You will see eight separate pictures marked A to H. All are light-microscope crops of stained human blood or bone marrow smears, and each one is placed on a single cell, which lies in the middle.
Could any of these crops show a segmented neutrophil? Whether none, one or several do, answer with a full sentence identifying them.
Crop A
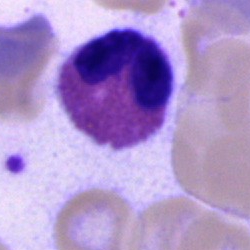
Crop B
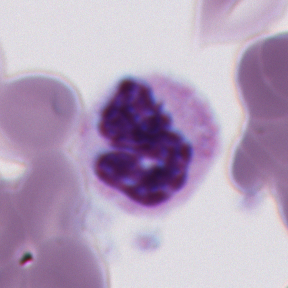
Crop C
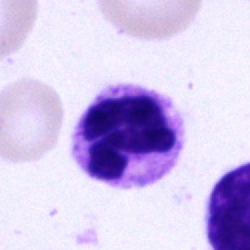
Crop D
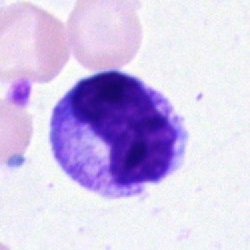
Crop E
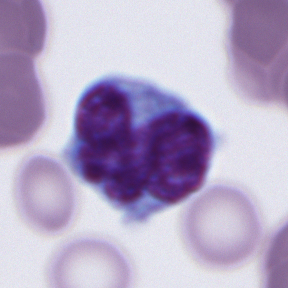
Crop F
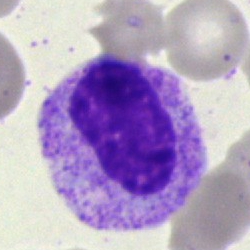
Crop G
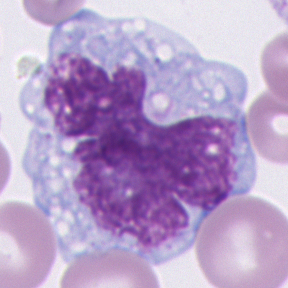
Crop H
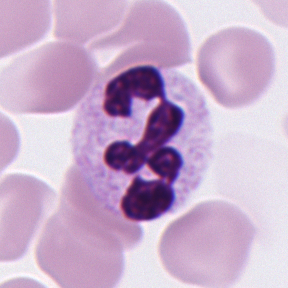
The crops marked B, C and H contain segmented neutrophils at the centre.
